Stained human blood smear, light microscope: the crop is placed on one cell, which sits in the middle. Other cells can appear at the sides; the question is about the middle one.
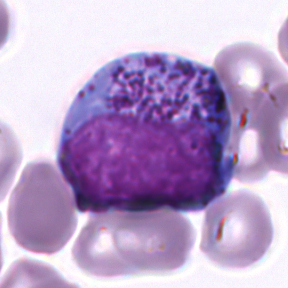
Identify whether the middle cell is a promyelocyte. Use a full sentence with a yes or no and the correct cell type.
Yes, the cell centred in this crop is a promyelocyte.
